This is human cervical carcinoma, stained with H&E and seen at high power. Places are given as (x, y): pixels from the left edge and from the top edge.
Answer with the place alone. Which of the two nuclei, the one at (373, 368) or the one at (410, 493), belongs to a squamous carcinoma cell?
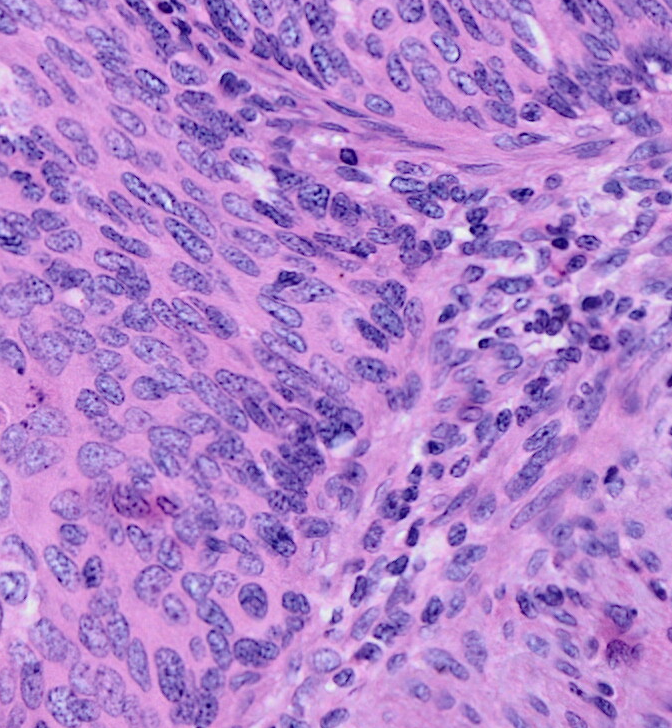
(373, 368)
